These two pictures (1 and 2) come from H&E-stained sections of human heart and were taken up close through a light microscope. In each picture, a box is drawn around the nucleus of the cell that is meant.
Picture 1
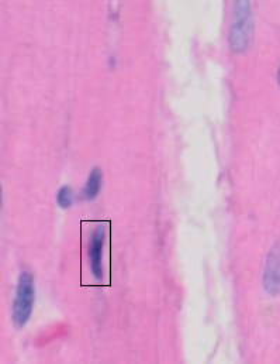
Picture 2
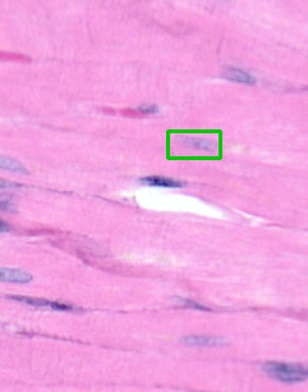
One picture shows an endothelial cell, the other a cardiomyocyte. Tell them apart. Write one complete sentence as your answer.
Picture 1 is of an endothelial cell, and picture 2 is of a cardiomyocyte.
